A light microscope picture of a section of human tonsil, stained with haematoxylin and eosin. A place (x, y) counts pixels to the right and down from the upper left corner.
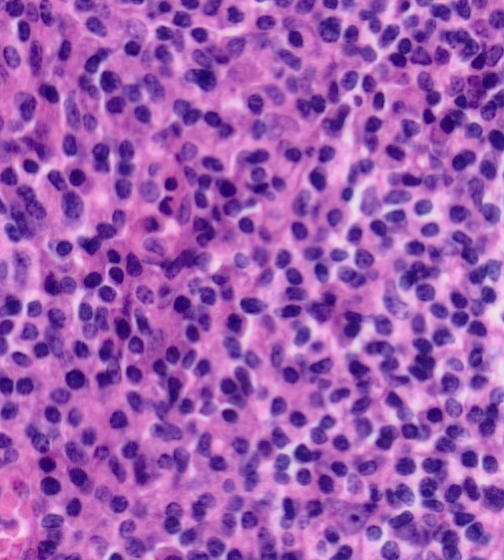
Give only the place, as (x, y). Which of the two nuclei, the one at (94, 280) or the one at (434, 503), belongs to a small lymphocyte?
(434, 503)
